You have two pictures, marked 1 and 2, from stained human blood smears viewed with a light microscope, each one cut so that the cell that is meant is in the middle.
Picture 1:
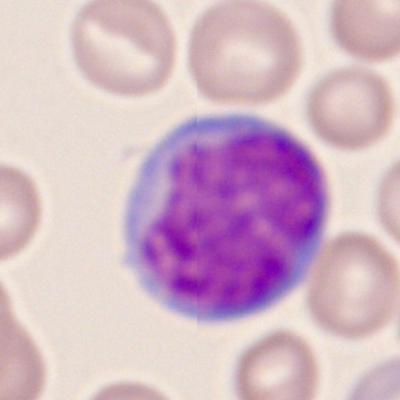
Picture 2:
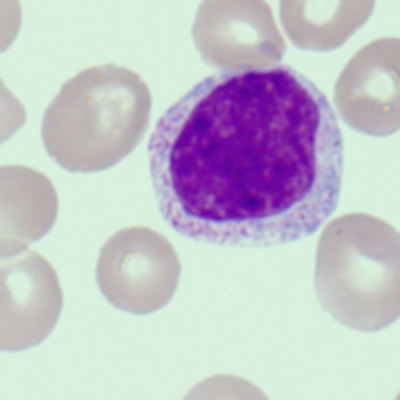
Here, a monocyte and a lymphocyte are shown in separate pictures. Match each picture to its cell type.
1: monocyte
2: lymphocyte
